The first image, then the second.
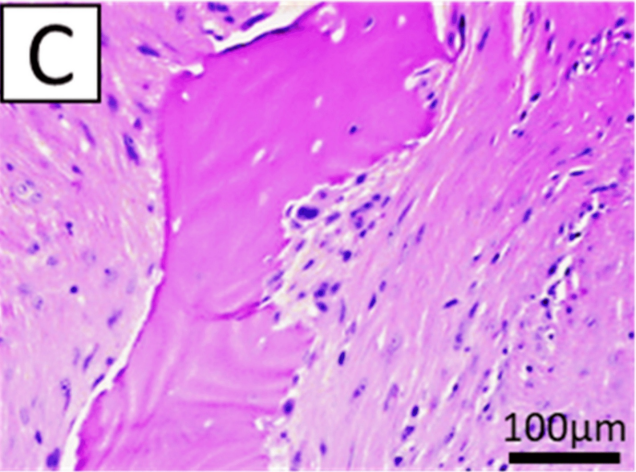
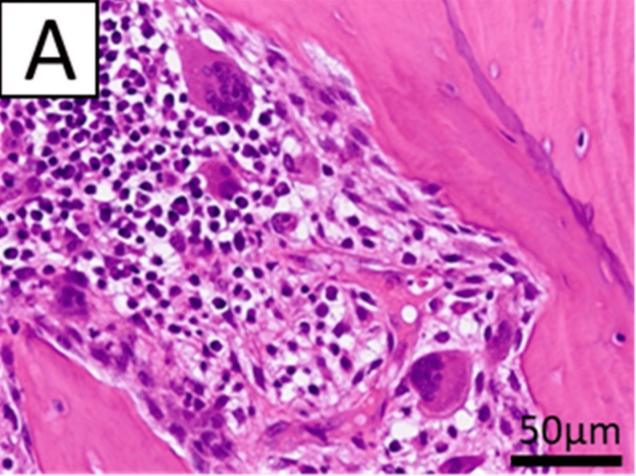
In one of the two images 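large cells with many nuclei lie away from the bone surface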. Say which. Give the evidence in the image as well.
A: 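First image: only small cells with single or few nuclei lie along the bone edge. Second image: giant cells with many nuclei sit in the marrow tissue apart from the bone.
Hence: the second image.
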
